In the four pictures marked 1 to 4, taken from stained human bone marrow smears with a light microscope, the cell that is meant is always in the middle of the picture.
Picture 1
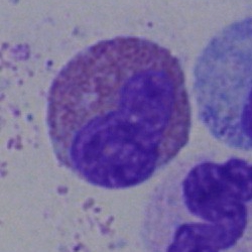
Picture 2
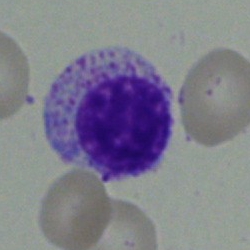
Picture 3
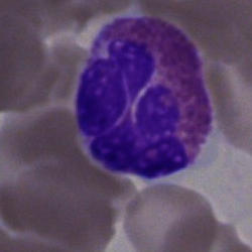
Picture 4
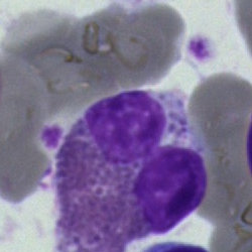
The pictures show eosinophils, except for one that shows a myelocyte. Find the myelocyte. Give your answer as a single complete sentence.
Picture 2 is the one that shows the myelocyte.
